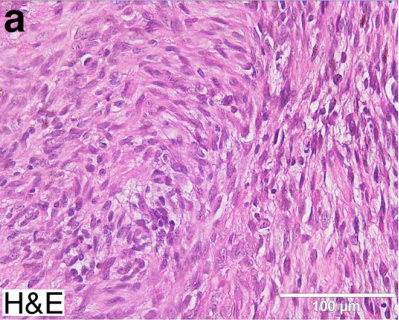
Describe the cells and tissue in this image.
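This tumor tissue is made of densely packed, poorly differentiated cells with little space between them. The cells are mostly spindle-shaped and run in interlacing, swirling bundles. Their nuclei are elongated to oval and dark purple, while the scant cytoplasm is pale pink and ill-defined. No normal tissue architecture is visible.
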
